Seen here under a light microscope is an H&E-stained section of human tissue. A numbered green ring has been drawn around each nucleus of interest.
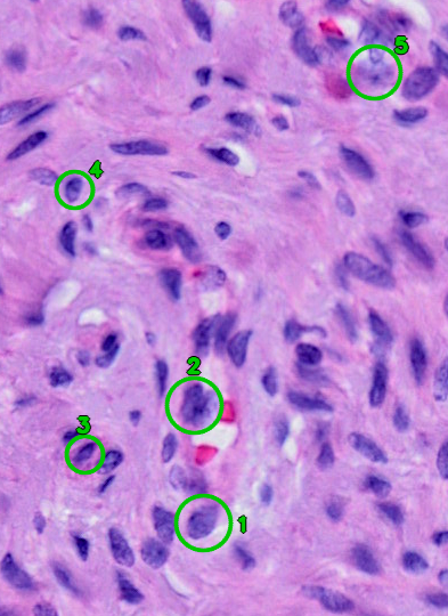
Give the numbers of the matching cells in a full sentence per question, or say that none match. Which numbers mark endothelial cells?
The cells shown with numbers 2, 3 and 5 are endothelial cells.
